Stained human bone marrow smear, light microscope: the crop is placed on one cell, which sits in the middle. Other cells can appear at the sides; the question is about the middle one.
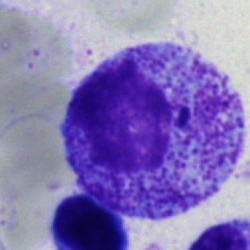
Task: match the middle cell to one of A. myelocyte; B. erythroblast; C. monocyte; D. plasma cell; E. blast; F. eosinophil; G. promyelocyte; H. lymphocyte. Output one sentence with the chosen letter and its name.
Since the cell in the centre is a myelocyte, the correct option is A.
